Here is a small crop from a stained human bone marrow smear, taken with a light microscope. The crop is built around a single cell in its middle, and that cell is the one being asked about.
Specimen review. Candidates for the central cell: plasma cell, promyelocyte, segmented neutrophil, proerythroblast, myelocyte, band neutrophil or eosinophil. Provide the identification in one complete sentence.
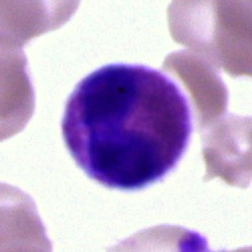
The central cell, amid any neighbouring cells, is an eosinophil.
